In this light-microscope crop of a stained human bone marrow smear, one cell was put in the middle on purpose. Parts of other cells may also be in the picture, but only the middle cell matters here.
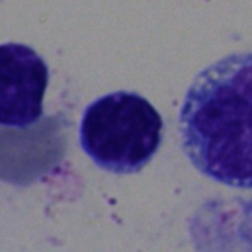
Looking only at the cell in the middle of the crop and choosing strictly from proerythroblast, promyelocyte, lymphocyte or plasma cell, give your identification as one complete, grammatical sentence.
The cell of interest, located centrally, is a lymphocyte.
